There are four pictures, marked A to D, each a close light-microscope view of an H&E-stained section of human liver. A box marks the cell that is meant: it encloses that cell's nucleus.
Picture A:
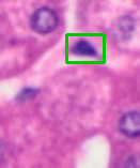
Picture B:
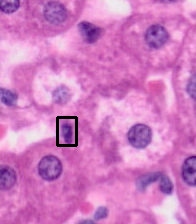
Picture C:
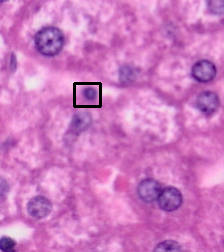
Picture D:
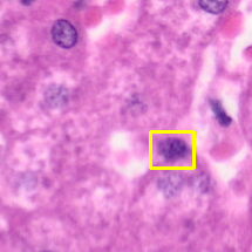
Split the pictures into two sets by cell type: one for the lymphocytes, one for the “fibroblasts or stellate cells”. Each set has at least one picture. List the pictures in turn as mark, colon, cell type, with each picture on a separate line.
A: lymphocyte
B: fibroblast or stellate cell
C: lymphocyte
D: fibroblast or stellate cell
